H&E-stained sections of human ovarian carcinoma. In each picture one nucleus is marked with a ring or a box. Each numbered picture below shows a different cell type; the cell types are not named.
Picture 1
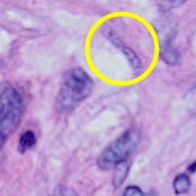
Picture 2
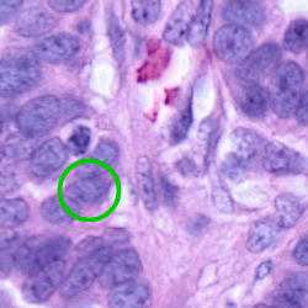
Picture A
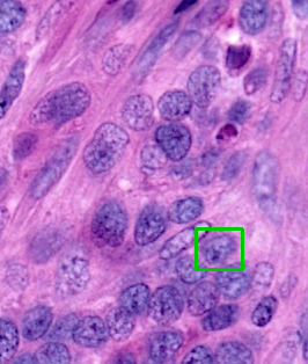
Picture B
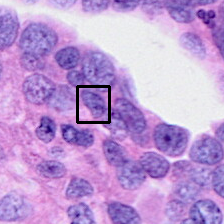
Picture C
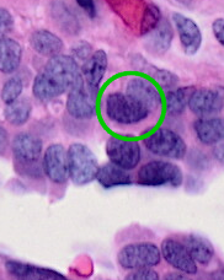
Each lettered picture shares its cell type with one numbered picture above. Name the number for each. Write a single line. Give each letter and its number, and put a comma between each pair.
A 2, B 2, C 2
